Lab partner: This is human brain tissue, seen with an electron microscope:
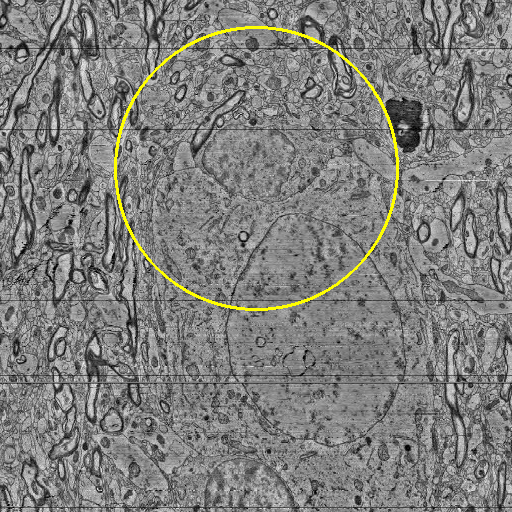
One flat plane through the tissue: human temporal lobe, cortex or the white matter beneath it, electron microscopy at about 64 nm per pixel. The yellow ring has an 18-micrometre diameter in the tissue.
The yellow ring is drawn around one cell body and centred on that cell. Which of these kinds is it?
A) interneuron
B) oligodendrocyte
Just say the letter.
B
